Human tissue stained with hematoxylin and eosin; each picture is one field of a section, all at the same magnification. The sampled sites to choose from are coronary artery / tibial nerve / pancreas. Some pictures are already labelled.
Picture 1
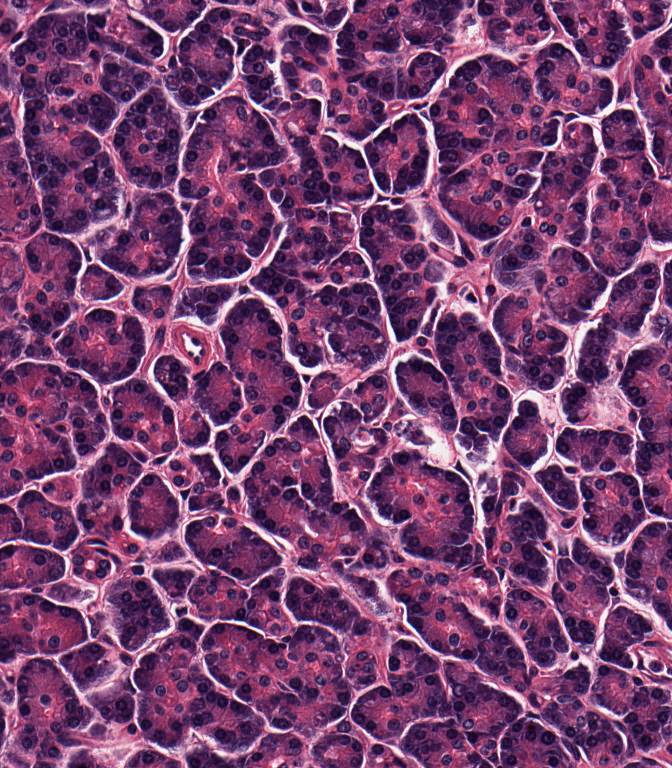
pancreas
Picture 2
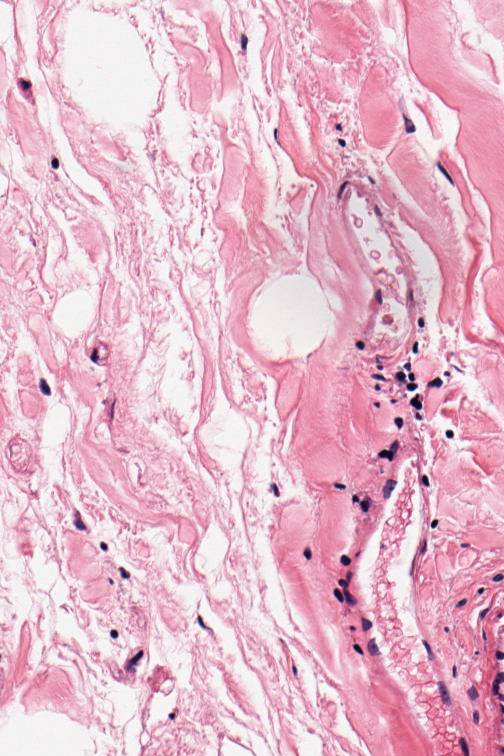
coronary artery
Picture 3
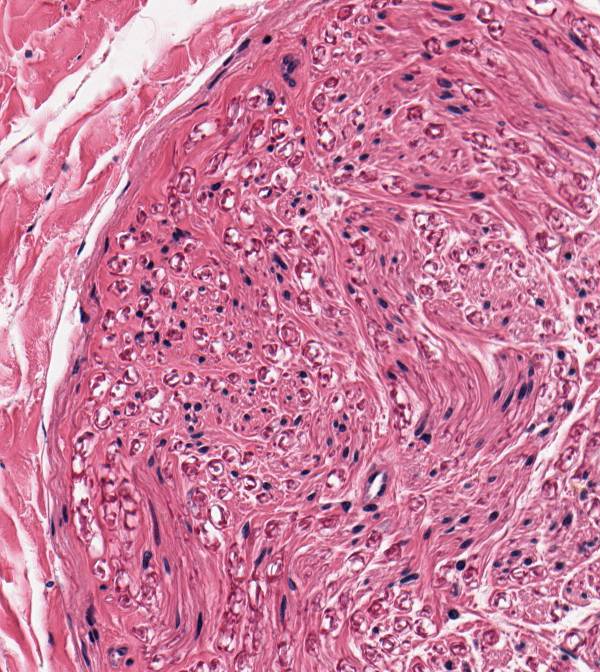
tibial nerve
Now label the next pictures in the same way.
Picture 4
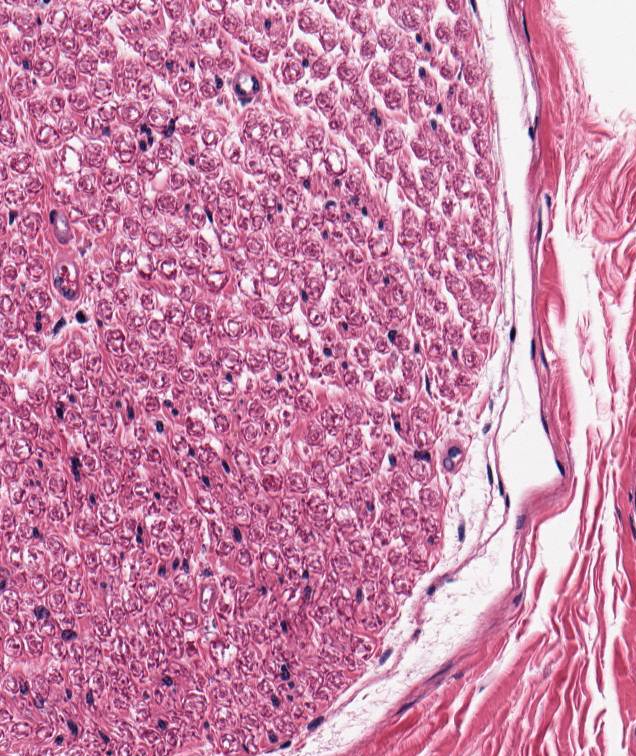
tibial nerve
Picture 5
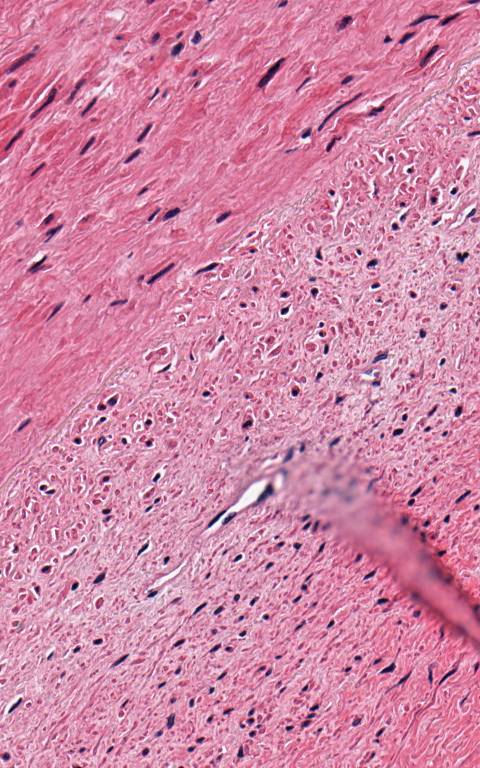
coronary artery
